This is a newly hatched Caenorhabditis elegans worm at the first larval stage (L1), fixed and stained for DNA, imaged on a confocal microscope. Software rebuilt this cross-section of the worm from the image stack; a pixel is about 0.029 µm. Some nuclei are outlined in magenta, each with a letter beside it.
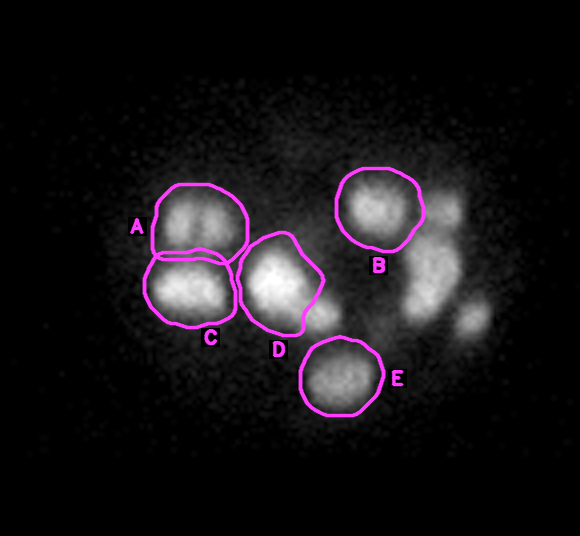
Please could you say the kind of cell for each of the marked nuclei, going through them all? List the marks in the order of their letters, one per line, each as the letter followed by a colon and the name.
A: body wall muscle cell
B: valve cell of the gut
C: neuron
D: valve cell of the gut
E: hypodermal cell (hyp)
